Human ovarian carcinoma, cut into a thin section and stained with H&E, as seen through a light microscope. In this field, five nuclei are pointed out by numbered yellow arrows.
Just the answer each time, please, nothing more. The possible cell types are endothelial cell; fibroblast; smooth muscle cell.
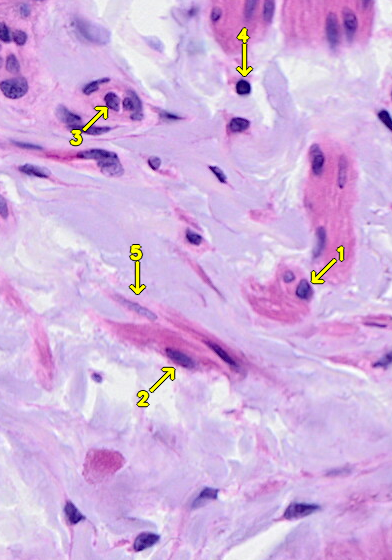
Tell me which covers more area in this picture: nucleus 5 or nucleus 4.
5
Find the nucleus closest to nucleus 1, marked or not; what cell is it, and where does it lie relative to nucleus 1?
a smooth muscle cell, above and to the left of nucleus 1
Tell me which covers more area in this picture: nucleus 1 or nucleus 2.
2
